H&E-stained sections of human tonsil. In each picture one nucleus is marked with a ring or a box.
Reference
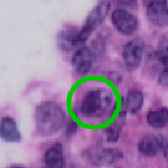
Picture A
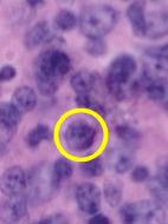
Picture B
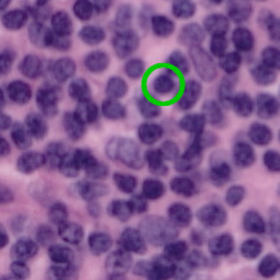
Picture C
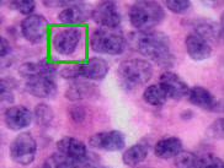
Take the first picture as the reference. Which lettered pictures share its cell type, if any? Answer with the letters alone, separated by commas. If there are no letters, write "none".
A, C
